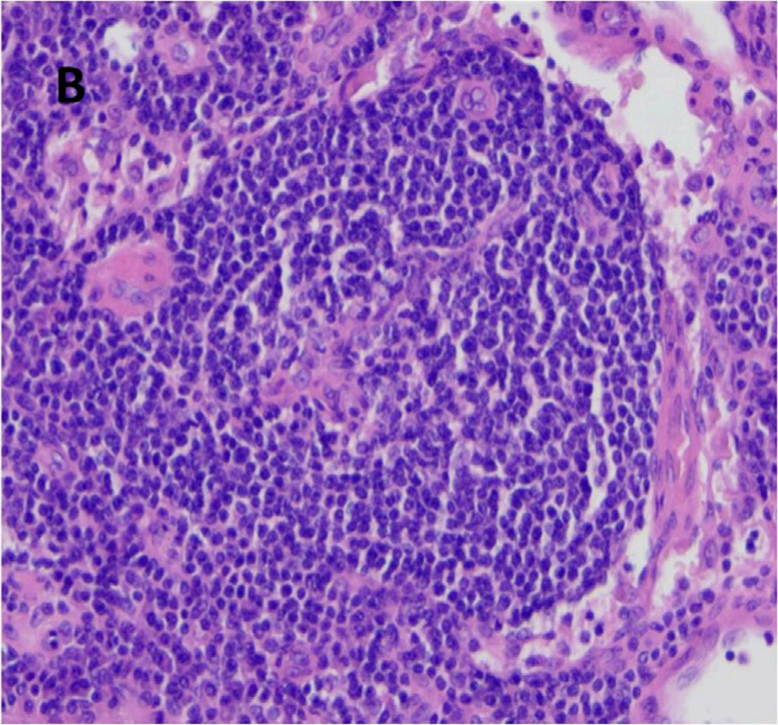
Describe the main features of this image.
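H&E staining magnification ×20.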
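A rounded nodule of densely packed small lymphoid cells, with small vessels running within it, fills the centre of the field. The cells have small round to slightly irregular dark purple nuclei and scant cytoplasm, and they are crowded closely together. Narrow pink strands and small vessels lined by plump cells with paler oval nuclei run through the nodule, with a pink-walled vessel near its left edge. Around the nodule, looser tissue contains thin-walled vascular channels lined by plump cells with oval nuclei and pink cytoplasm, together with scattered lymphoid cells. Clear spaces in the upper and lower right corners probably mark vessel lumina.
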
